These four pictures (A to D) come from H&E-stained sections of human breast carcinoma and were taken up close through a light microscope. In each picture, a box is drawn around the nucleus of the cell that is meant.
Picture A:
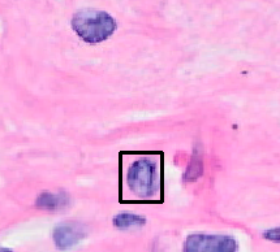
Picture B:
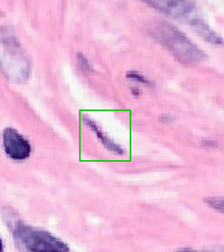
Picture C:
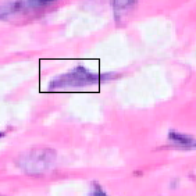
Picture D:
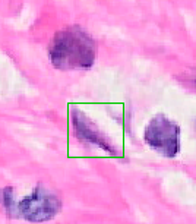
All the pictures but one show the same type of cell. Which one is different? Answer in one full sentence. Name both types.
Unlike the rest, which show fibroblasts, picture A shows an endothelial cell.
